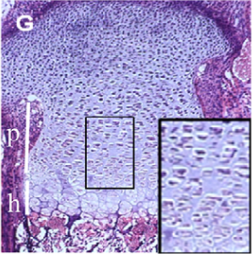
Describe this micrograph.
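Growth plate cartilage of a developing long bone, pale purple matrix with chondrocytes in zones. At the top, rounded chondrocytes lie scattered singly in matrix. Below, a zone of flattened chondrocytes lies stacked in longitudinal columns, clearly shown in the enlarged inset where the flat cells sit one above another. Toward the bottom the cells enlarge into big, pale, rounded cells with clear lacunae, beyond which lies the invading marrow and bone region with red-stained material. Perichondrium lines the edge at the left.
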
